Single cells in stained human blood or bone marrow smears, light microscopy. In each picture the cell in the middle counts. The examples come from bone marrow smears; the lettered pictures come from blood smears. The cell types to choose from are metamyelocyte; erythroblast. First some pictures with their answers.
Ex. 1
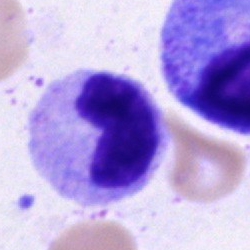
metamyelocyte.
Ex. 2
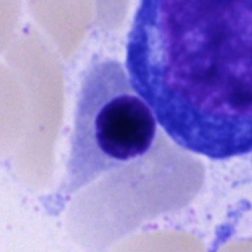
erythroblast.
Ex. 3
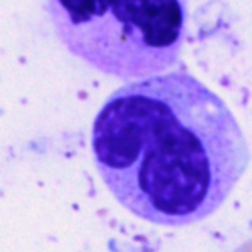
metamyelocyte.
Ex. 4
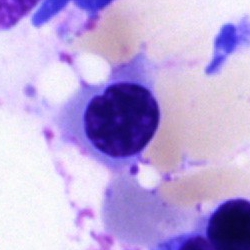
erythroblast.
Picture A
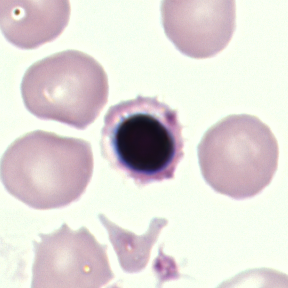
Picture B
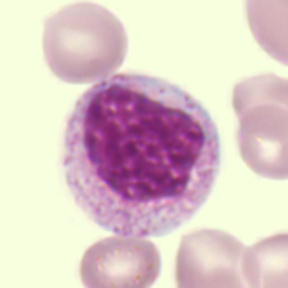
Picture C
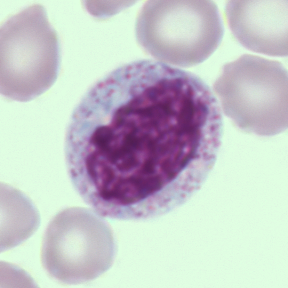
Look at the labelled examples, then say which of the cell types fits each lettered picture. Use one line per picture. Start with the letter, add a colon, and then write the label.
A: erythroblast.
B: metamyelocyte.
C: metamyelocyte.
